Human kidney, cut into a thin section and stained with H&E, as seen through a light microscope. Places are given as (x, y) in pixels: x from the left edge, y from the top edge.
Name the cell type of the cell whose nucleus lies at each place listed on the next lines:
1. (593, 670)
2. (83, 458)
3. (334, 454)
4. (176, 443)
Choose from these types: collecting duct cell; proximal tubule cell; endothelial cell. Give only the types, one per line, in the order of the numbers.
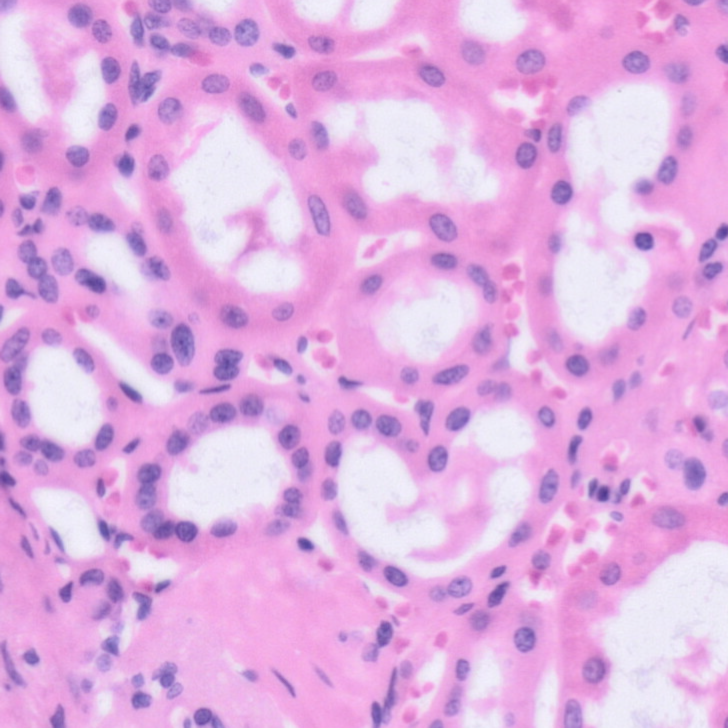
proximal tubule cell
collecting duct cell
collecting duct cell
collecting duct cell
